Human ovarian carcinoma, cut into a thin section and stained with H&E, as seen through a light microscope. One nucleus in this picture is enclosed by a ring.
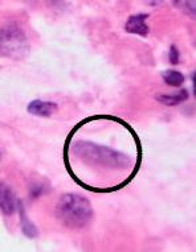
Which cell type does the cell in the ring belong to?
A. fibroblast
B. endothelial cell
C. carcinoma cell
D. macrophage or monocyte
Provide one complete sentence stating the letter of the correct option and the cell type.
The correct option here, A, identifies the cell in the ring as a fibroblast.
